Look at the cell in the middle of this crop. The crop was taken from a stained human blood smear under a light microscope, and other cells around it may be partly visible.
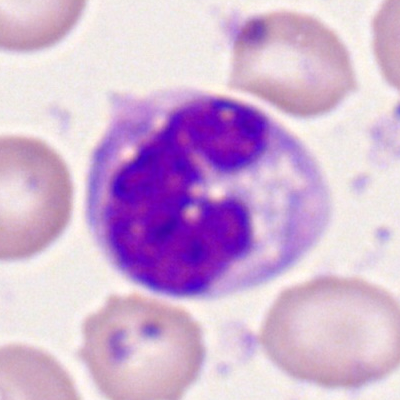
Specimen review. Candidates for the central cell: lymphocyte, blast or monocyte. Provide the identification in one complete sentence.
The cell centered in this field of view is a monocyte.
